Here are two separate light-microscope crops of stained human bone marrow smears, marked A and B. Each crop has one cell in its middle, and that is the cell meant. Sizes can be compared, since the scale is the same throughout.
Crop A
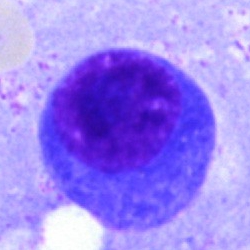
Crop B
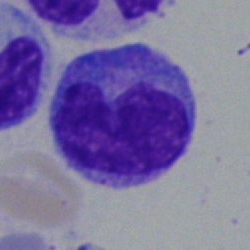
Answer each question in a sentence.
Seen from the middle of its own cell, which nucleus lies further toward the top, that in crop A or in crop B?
The nucleus in crop A lies further toward the top of its cell.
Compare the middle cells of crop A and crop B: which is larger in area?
Crop A holds the larger cell; it covers about 1.5 times the area of the cell in crop B.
